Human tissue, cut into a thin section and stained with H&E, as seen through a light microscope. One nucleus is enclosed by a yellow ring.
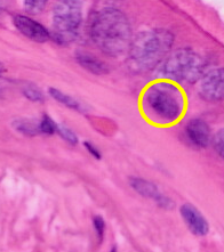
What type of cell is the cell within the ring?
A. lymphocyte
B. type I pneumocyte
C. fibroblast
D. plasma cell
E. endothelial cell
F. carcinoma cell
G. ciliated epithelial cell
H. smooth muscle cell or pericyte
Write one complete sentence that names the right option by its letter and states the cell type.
The statement that the cell within the ring is a ciliated epithelial cell corresponds to option G, the correct one.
